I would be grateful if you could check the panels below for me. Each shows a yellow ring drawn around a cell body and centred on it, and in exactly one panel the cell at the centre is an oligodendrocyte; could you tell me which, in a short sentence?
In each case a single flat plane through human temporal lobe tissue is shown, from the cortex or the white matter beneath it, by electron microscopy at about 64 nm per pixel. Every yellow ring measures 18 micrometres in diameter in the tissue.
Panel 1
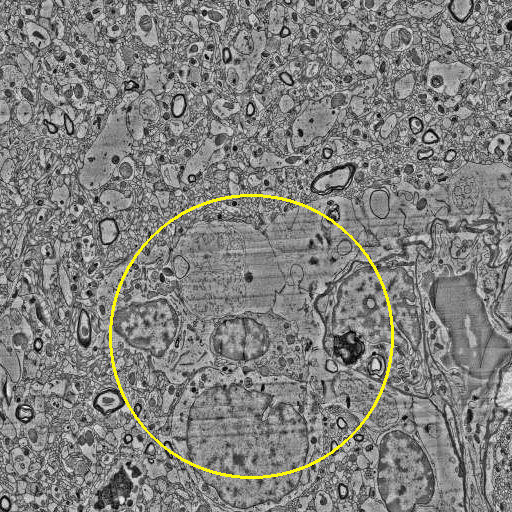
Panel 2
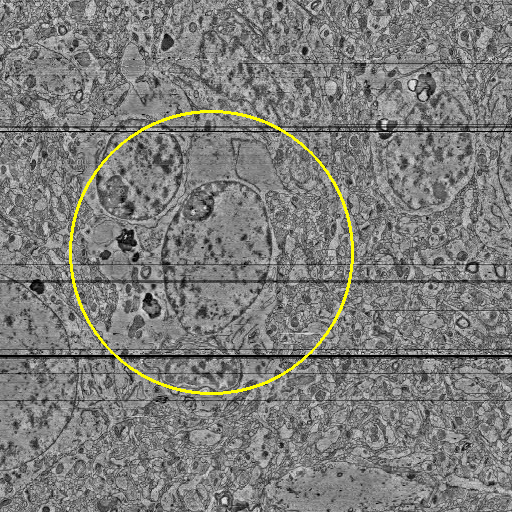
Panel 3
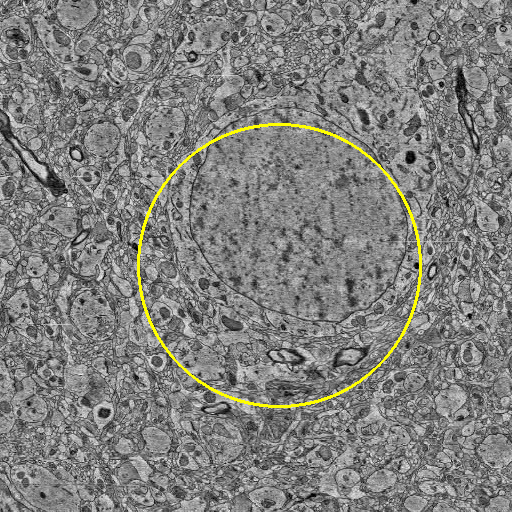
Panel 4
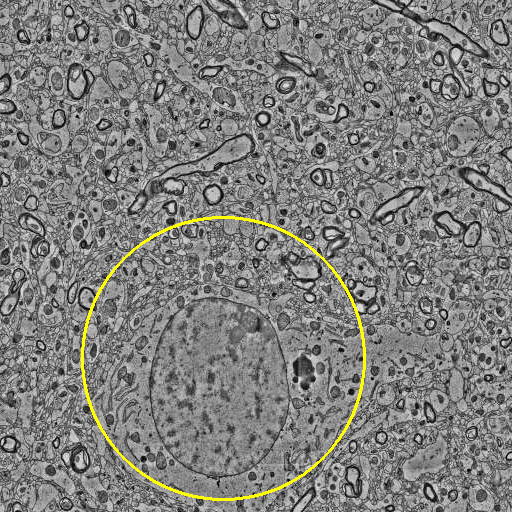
The ring in Panel 1 is centred on it.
